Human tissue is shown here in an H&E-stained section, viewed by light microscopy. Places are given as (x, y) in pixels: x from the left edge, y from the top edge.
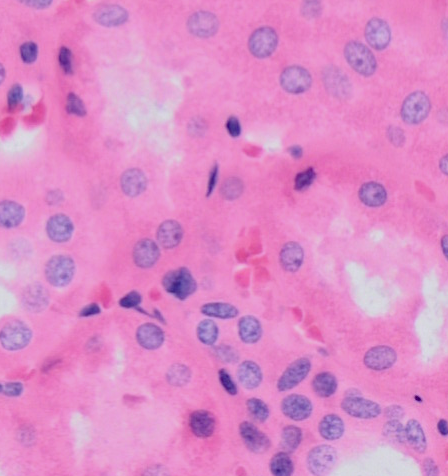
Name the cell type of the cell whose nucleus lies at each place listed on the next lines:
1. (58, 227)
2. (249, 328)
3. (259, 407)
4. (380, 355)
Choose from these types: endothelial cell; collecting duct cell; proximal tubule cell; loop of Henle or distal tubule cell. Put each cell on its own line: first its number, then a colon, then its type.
1: loop of Henle or distal tubule cell
2: collecting duct cell
3: collecting duct cell
4: proximal tubule cell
